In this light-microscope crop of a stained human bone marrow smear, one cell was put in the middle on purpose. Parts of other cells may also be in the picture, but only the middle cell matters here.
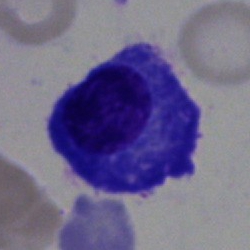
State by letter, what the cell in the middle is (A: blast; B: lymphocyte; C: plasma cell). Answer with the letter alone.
C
